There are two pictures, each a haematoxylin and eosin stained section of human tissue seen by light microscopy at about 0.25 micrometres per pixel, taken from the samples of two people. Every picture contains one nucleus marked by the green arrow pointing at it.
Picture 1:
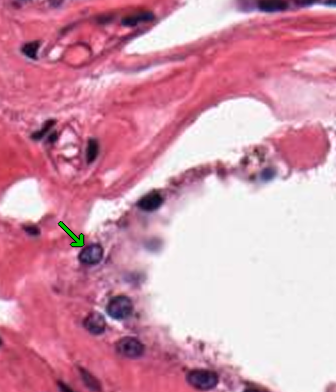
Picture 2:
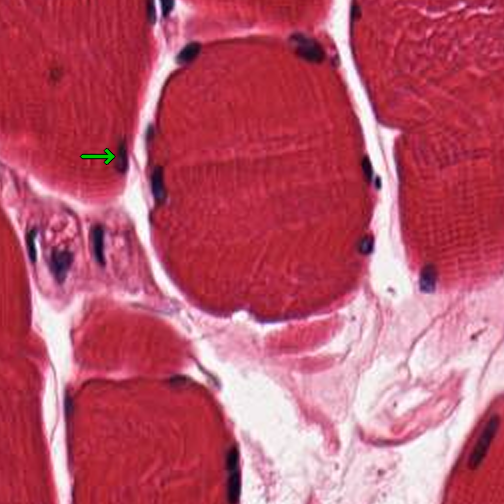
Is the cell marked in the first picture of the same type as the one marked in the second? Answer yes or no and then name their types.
No, the first is a thyroid follicular cell and the second a skeletal muscle fibre.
